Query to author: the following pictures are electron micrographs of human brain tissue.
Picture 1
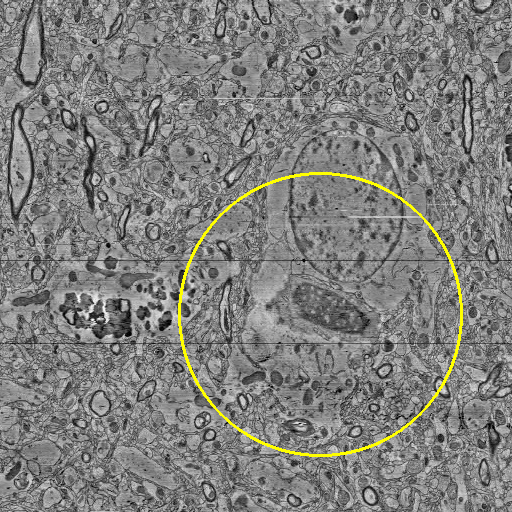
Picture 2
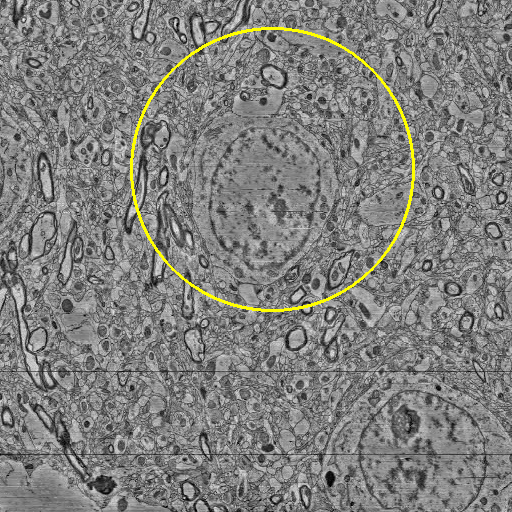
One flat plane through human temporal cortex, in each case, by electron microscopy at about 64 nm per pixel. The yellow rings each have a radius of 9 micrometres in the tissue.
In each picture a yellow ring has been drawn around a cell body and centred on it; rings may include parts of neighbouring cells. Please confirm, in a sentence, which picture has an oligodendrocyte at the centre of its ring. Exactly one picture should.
Picture 1 has it at the centre of its ring.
